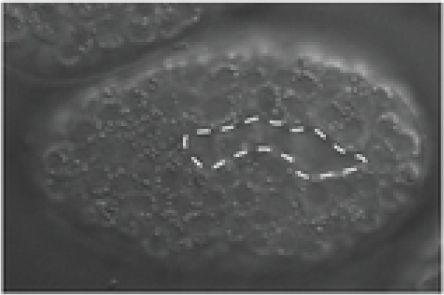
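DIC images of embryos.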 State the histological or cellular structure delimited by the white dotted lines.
ventral cleft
